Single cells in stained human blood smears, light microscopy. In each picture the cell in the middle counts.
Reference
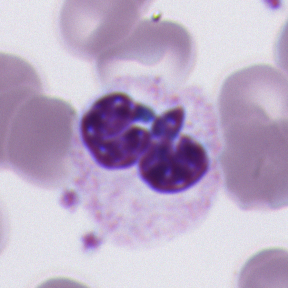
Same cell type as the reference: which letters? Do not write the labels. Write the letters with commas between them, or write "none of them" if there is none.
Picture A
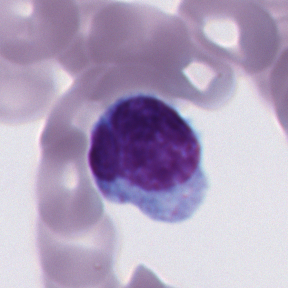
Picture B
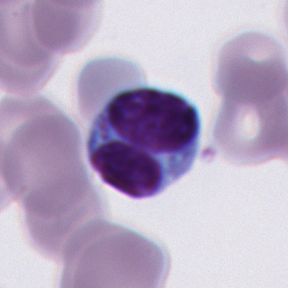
none of them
